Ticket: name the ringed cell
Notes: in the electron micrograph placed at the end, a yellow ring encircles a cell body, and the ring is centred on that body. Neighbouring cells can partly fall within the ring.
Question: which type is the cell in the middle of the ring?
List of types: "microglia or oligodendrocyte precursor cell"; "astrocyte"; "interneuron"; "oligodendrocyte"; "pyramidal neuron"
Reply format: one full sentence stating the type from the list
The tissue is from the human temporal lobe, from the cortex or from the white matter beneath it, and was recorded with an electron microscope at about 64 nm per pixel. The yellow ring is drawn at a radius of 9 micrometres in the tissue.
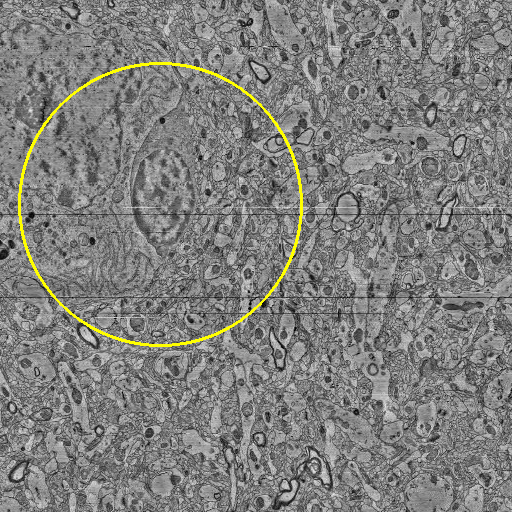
The cell sitting at the centre of the yellow ring is an oligodendrocyte.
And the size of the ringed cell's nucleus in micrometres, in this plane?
The nucleus is approximately 6 micrometres long but only about 4 wide, clearly longer than it is wide in this plane.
